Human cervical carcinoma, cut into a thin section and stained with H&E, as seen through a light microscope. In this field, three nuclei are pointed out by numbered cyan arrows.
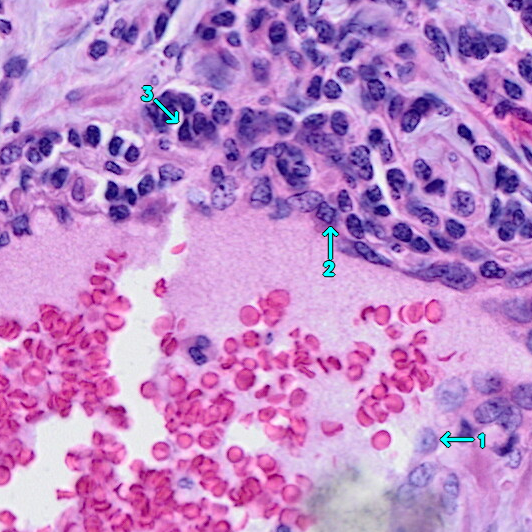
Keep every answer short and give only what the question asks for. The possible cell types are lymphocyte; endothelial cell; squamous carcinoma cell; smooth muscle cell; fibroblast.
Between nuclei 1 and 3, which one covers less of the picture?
3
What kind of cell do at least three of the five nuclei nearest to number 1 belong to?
endothelial cell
